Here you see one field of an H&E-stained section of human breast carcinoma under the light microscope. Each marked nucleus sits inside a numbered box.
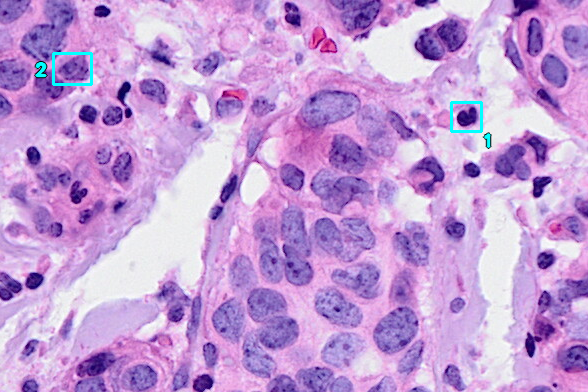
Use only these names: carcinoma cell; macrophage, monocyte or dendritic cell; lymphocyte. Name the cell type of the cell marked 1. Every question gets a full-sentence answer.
Denoted by the label 1 in the section is a lymphocyte.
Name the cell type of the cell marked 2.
Cell number 2 in this section is a carcinoma cell.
